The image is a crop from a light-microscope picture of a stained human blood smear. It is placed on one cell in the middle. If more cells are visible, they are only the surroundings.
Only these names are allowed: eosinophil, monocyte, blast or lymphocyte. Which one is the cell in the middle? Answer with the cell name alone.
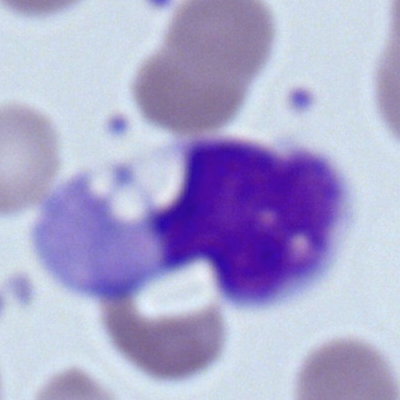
monocyte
